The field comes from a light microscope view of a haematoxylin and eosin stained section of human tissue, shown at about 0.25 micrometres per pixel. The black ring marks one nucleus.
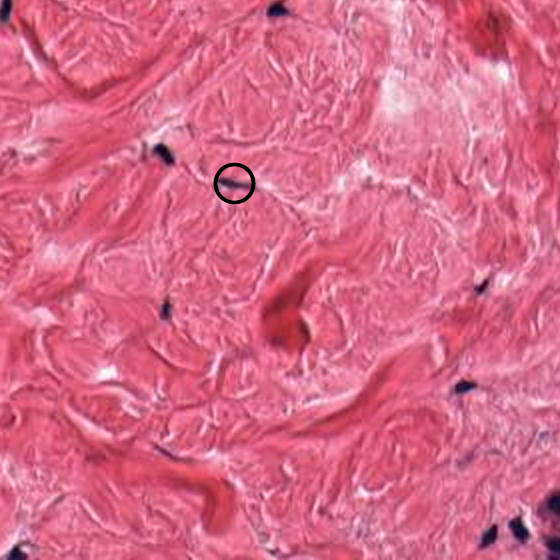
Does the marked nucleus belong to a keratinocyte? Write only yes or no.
no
